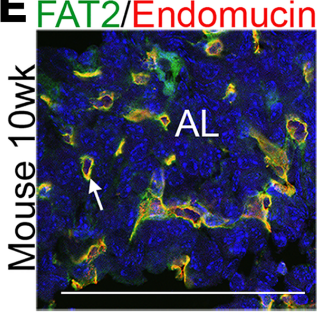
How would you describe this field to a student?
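Scattered among them are many small rings and branching outlines stained both green and red, which overlap to look yellow-orange. These rings outline narrow lumens and are the thin walls of small blood vessels, the capillaries that run through the gland. In the lower middle a larger, irregular channel stands out with the same yellow-red lining. The vessel outlines sit closely between the clusters of nuclei, showing how richly the gland is supplied with vessels.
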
